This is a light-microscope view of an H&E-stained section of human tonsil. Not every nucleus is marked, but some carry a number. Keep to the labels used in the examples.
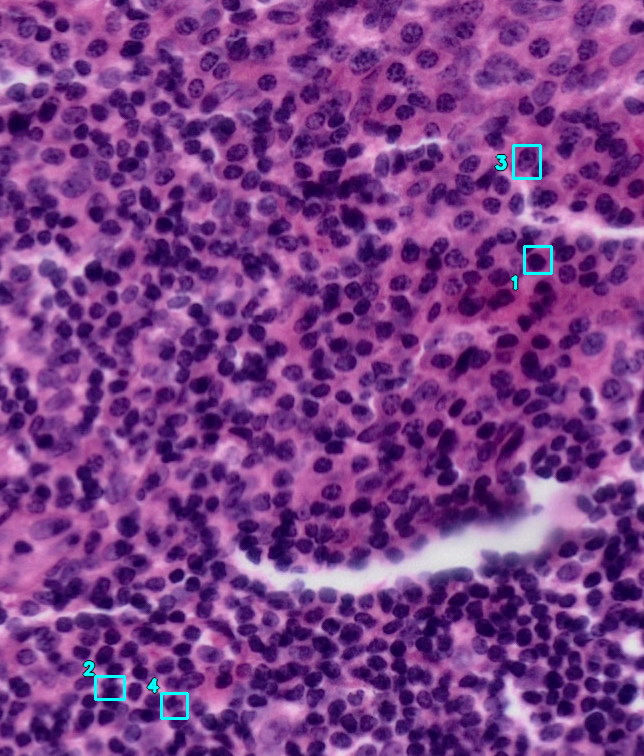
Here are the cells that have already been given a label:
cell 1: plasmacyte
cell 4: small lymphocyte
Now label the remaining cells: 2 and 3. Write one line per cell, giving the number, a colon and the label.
2: small lymphocyte
3: plasmacyte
